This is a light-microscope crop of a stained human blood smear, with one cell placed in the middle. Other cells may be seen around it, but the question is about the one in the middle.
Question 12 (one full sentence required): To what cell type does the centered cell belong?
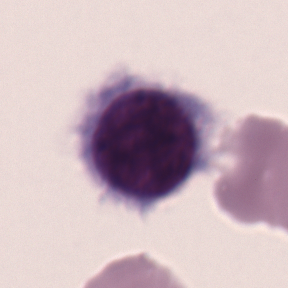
The centrally located cell in the crop is a hairy cell.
